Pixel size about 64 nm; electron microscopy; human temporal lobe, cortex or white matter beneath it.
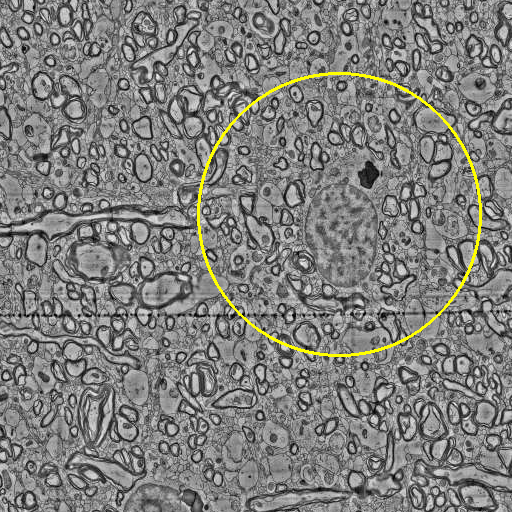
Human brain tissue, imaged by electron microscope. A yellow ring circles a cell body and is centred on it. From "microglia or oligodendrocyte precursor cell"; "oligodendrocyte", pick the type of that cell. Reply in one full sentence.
The cell body at the centre of the yellow ring belongs to an oligodendrocyte.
